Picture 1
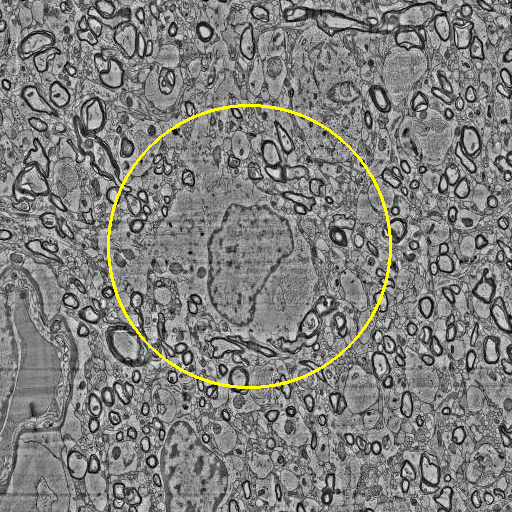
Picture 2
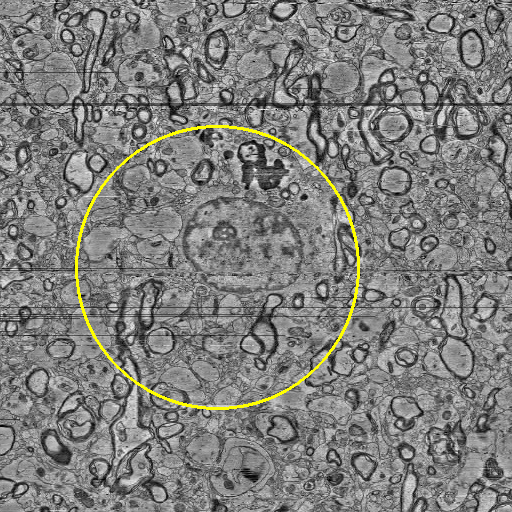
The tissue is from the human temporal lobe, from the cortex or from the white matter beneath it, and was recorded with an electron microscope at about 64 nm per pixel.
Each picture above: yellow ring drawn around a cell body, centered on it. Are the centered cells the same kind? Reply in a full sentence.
No, the two cells are two kinds of cell.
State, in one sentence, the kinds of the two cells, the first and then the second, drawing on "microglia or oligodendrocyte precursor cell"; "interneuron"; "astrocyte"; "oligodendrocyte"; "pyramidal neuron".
The ring in the second picture is centred on an oligodendrocyte, the ring in the first on an astrocyte.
